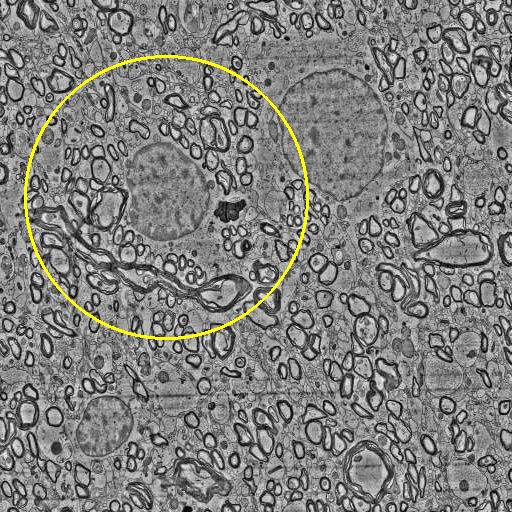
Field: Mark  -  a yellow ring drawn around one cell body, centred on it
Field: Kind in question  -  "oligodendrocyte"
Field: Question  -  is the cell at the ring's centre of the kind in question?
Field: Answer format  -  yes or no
yes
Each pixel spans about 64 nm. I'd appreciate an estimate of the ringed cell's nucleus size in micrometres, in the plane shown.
In this plane the nucleus measures roughly 6 micrometres across.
